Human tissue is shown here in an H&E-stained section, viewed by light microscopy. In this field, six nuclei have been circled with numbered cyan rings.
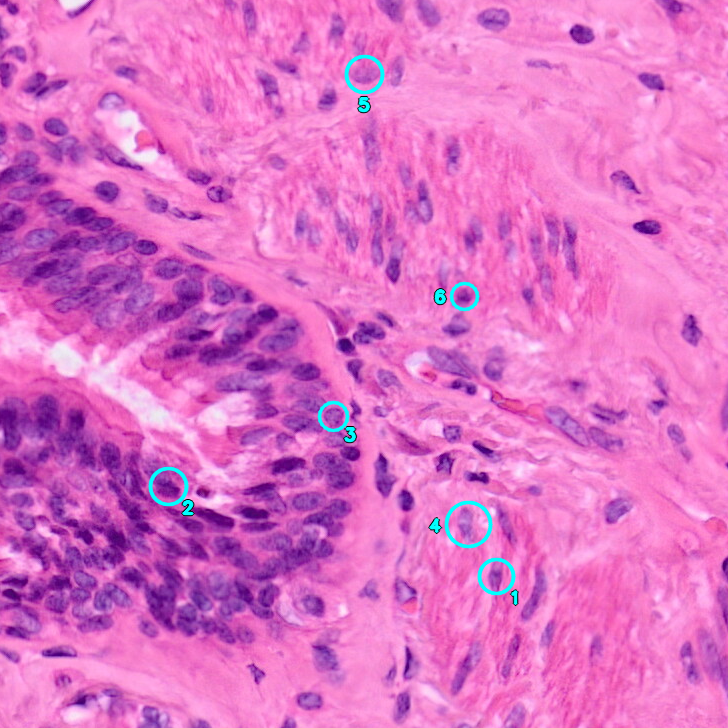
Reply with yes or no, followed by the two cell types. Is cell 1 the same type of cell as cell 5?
Yes, the two numbered cells 1 and 5 are both smooth muscle cells or pericytes.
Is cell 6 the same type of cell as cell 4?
Yes, the two numbered cells, 6 and 4, are both smooth muscle cells or pericytes.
